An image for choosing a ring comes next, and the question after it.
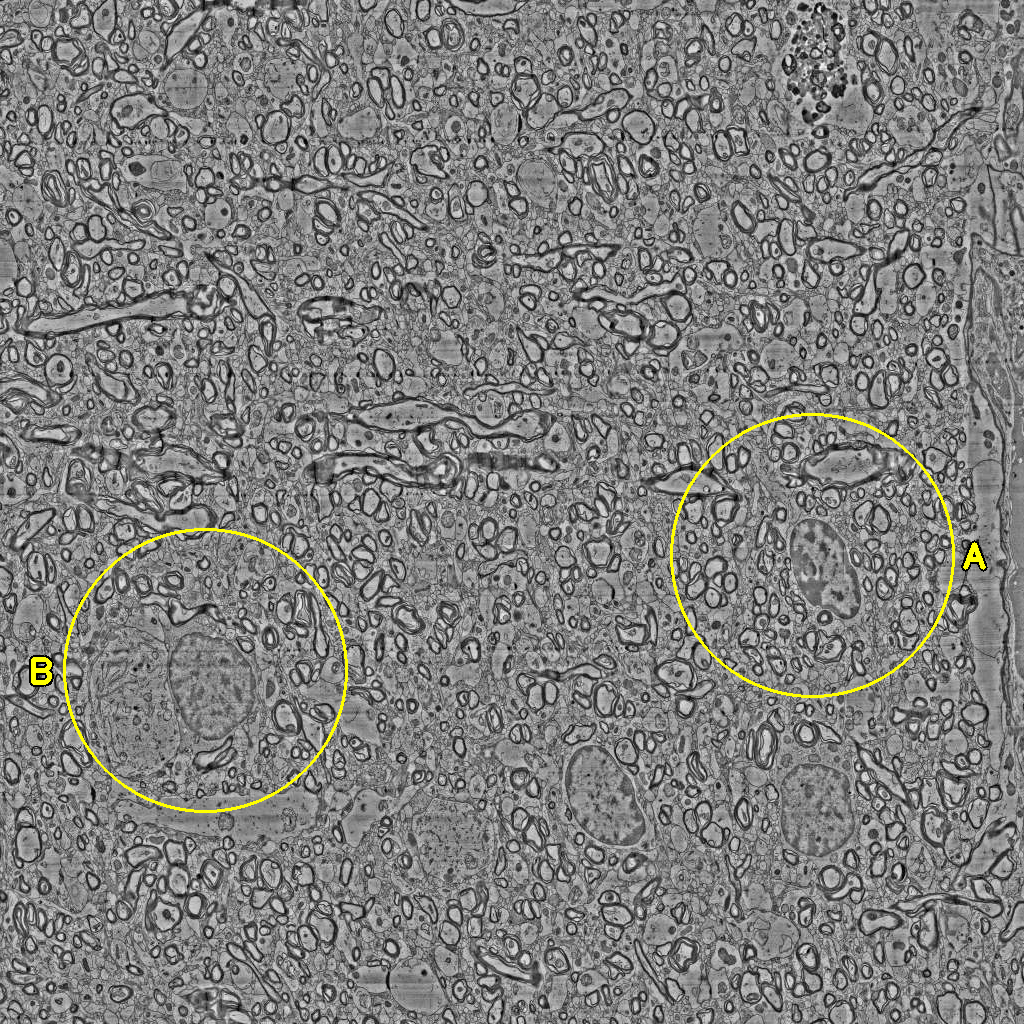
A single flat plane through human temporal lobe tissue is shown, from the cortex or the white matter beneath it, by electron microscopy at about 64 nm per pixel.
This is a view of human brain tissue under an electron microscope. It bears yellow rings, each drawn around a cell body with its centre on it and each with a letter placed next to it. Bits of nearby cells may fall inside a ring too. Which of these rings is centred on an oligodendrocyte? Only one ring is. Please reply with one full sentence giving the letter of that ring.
Of all the lettered rings, B is the one centred on a cell of that kind.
